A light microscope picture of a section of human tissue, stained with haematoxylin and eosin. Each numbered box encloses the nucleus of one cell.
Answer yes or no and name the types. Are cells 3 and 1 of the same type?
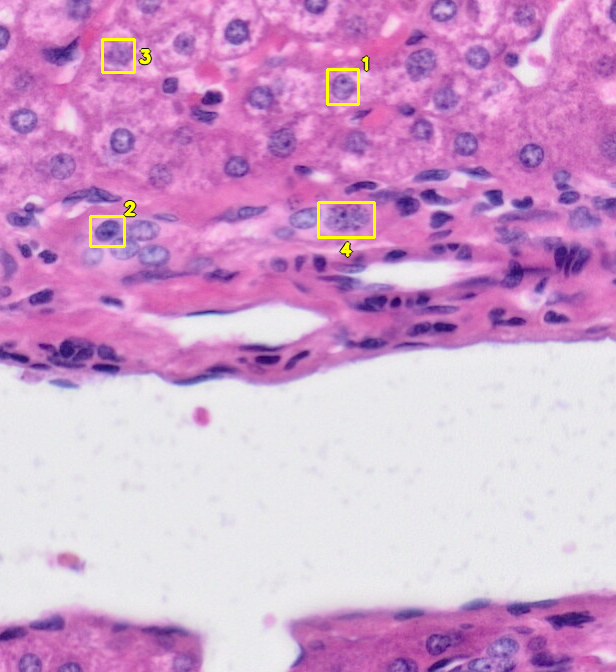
Yes, both are hepatocytes.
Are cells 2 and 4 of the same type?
Yes, both are cholangiocytes.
